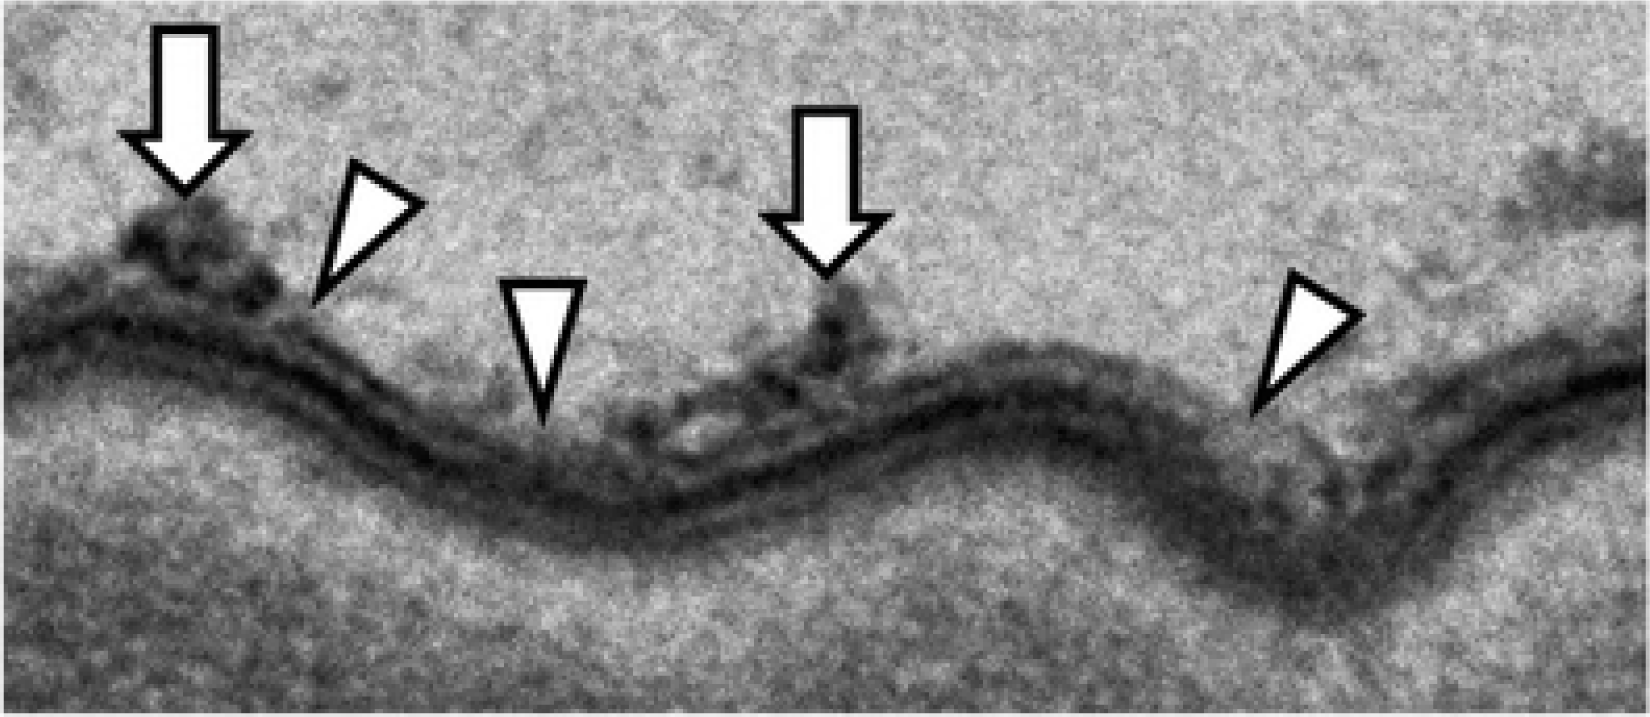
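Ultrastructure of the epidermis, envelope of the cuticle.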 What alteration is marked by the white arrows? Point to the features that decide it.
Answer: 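Irregular dark granular clumps sit on the outer surface of the layered band. The clumps project into the pale space above the band. On this evidence: debris.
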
